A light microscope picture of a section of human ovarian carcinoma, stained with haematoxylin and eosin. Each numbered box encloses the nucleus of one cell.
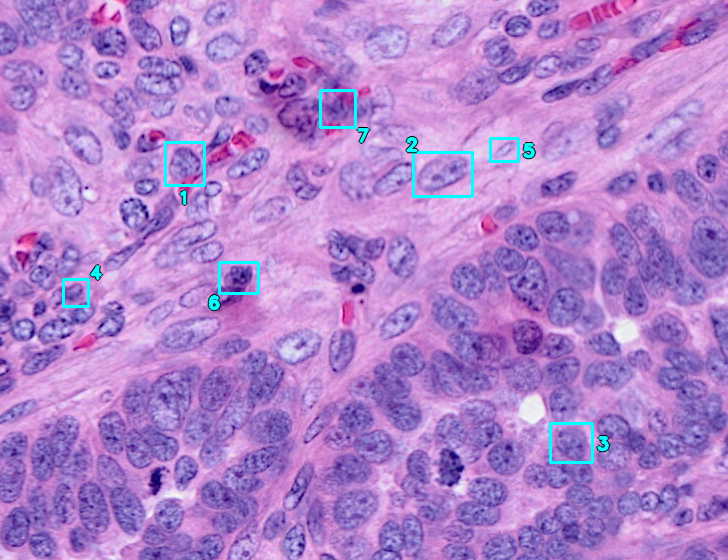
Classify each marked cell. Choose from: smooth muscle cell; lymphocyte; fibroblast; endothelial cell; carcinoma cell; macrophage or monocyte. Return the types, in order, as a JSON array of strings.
["endothelial cell", "fibroblast", "carcinoma cell", "endothelial cell", "fibroblast", "lymphocyte", "endothelial cell"]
